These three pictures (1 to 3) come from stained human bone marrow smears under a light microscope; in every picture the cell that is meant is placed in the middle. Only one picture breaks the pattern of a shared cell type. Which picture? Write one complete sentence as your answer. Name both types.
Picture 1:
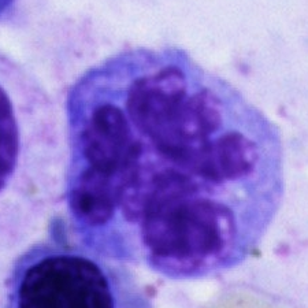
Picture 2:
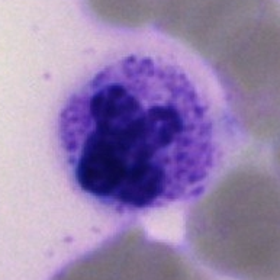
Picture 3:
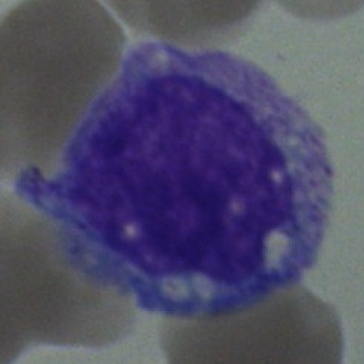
The others show monocytes, but picture 2 shows a segmented neutrophil.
